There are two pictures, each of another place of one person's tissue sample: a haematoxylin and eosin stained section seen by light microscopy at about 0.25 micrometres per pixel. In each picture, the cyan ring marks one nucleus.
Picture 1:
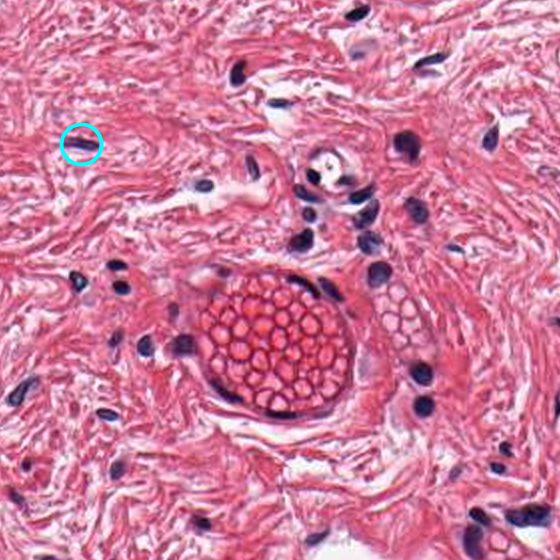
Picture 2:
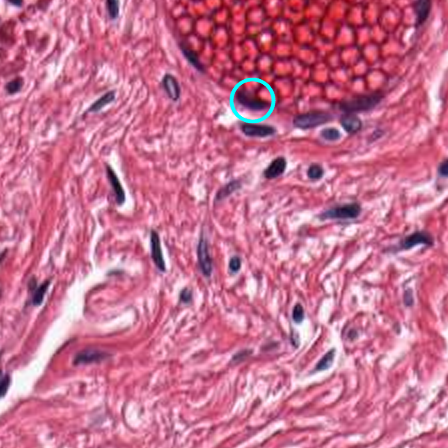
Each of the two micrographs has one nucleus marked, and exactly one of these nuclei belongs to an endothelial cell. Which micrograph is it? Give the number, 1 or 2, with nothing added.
2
